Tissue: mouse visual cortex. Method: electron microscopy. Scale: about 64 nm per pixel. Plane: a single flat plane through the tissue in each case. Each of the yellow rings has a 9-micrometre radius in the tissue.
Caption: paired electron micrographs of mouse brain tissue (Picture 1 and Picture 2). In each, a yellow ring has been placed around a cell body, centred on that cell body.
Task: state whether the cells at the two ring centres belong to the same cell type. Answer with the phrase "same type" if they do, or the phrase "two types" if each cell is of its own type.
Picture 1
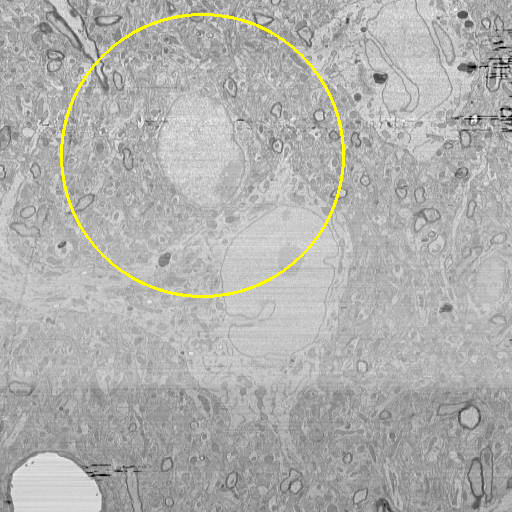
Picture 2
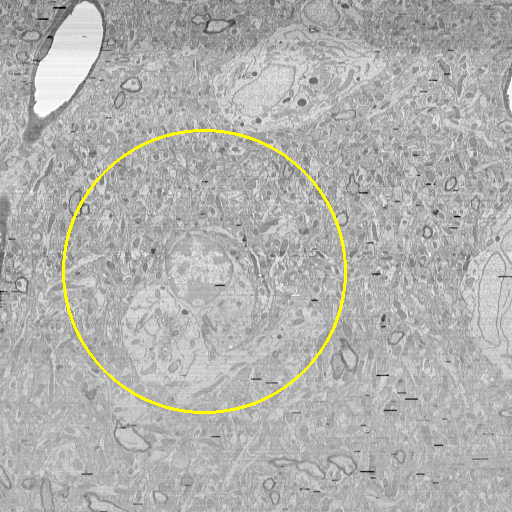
two types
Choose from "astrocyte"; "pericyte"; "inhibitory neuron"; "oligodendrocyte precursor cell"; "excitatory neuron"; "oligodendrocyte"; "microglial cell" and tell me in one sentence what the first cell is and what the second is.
What the first ring is centred on is an astrocyte; what the second ring is centred on is an oligodendrocyte.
